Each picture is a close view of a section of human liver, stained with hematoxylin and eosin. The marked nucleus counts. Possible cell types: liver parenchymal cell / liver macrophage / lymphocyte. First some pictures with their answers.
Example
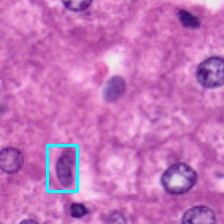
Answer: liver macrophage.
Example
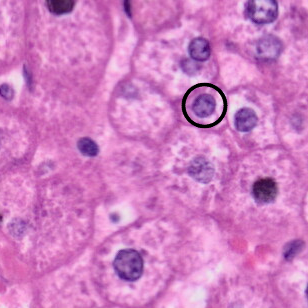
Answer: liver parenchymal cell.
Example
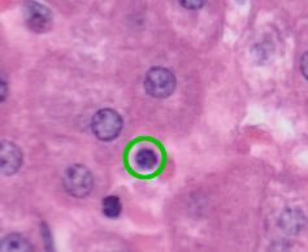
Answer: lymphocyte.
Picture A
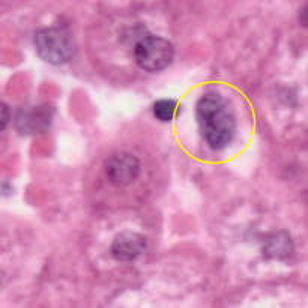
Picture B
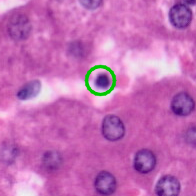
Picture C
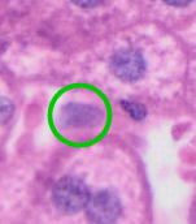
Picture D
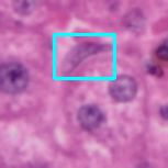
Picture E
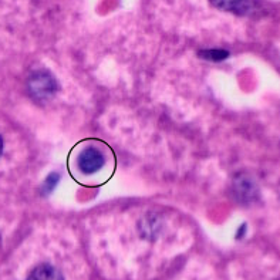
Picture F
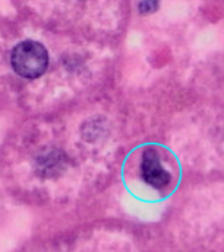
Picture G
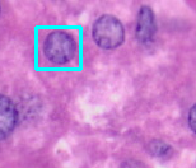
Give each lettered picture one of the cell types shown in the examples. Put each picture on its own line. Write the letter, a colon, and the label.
A: liver macrophage.
B: lymphocyte.
C: liver macrophage.
D: liver macrophage.
E: lymphocyte.
F: liver macrophage.
G: liver parenchymal cell.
